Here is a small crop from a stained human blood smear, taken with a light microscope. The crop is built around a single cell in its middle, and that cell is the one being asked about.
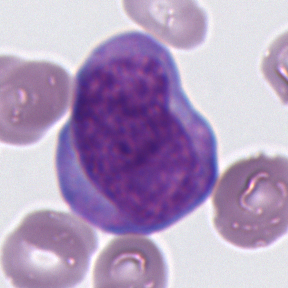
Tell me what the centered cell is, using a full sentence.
Classified as an atypical promyelocyte is the cell in the middle of this crop.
